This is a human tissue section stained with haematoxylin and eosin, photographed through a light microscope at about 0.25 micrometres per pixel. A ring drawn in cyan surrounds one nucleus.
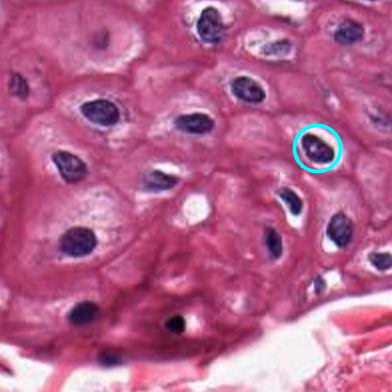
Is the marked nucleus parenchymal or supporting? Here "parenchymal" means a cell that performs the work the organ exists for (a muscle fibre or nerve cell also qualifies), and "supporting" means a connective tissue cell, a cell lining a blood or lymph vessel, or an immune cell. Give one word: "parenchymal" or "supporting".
parenchymal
